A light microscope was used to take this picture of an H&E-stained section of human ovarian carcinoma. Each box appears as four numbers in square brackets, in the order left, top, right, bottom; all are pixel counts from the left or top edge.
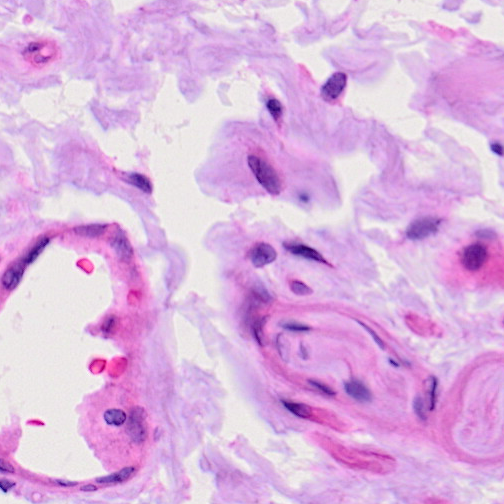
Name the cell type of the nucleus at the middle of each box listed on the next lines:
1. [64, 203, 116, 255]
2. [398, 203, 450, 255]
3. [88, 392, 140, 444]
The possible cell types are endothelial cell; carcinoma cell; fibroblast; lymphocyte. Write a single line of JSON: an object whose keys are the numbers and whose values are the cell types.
{"1": "endothelial cell", "2": "fibroblast", "3": "lymphocyte"}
